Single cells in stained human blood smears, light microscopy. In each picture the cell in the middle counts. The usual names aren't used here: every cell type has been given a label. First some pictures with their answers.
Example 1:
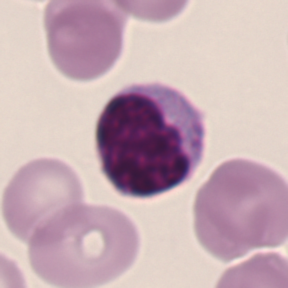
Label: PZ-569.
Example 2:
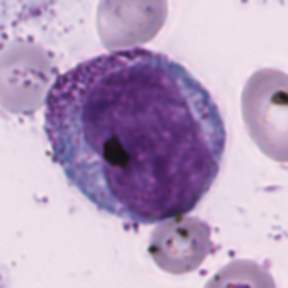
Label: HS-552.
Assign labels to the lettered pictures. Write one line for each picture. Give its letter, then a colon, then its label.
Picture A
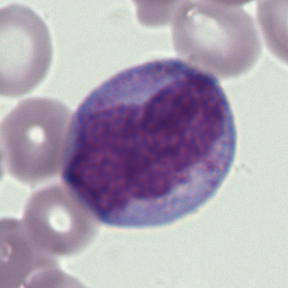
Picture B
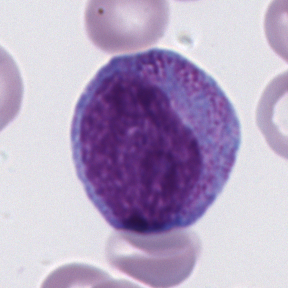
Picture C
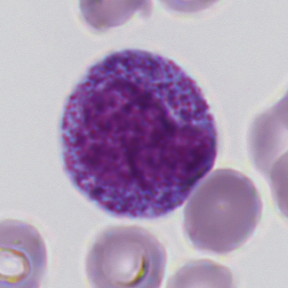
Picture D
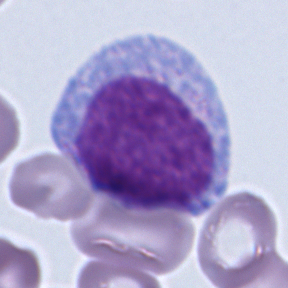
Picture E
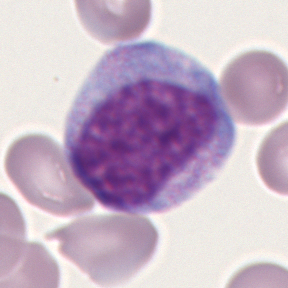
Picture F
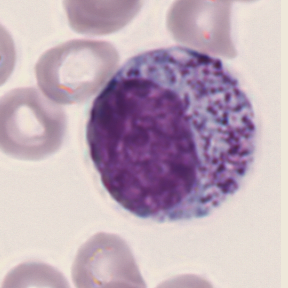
A: HS-552.
B: HS-552.
C: HS-552.
D: HS-552.
E: HS-552.
F: HS-552.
